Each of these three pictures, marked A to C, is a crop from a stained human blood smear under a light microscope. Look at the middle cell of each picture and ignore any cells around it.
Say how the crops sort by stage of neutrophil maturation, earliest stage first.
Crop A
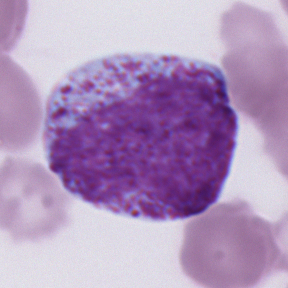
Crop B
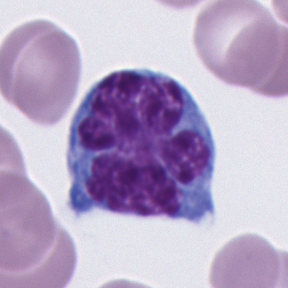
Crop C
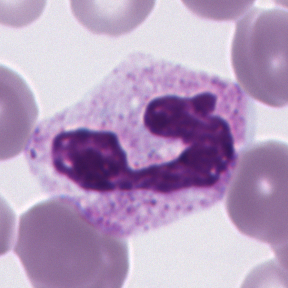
B, A, C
